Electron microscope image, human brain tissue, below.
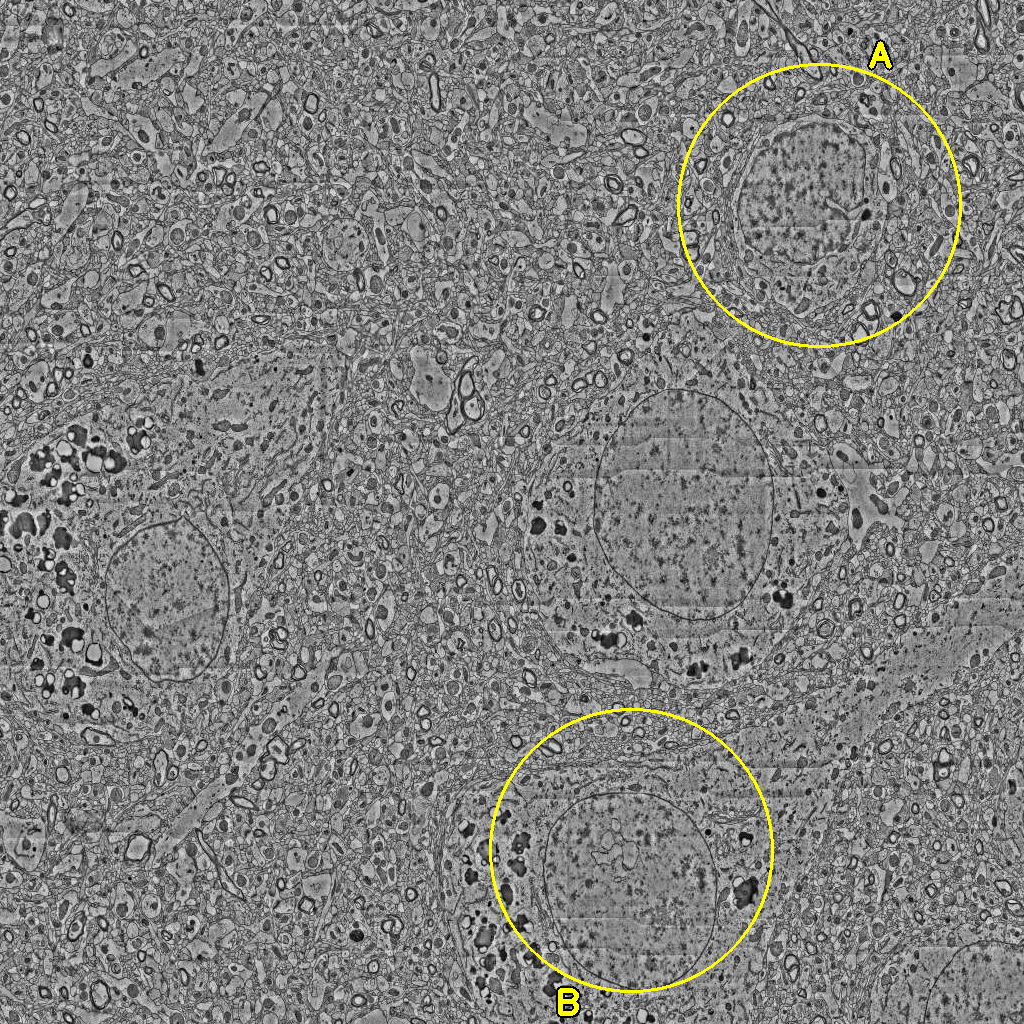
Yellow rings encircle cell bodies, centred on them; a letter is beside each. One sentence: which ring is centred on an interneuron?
It is ring A.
